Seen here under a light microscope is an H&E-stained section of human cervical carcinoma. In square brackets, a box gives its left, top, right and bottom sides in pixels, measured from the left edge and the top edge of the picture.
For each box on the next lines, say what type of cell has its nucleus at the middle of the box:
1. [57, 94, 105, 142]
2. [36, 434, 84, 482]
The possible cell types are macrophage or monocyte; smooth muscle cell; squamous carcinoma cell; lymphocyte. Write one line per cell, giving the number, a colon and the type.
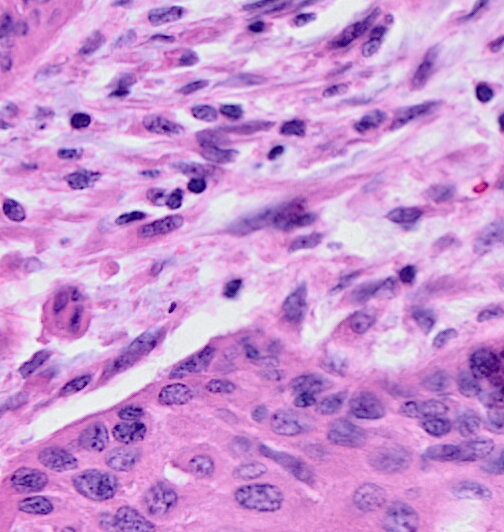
1: lymphocyte
2: squamous carcinoma cell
